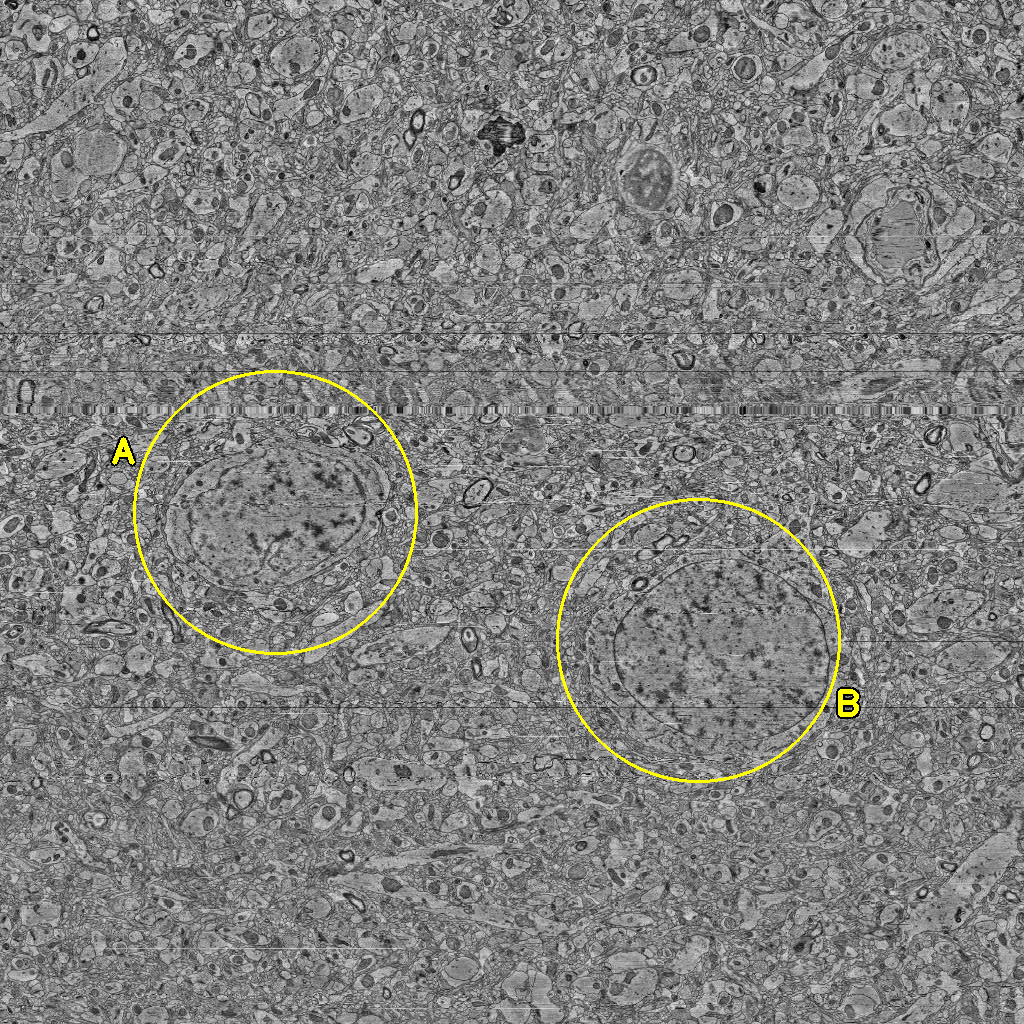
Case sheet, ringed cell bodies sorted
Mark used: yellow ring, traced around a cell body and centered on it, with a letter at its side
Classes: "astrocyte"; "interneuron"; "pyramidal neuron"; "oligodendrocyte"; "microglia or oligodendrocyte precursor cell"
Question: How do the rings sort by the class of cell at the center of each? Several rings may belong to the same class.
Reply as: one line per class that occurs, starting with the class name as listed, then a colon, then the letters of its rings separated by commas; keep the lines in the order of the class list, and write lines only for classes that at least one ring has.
interneuron: A
pyramidal neuron: B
